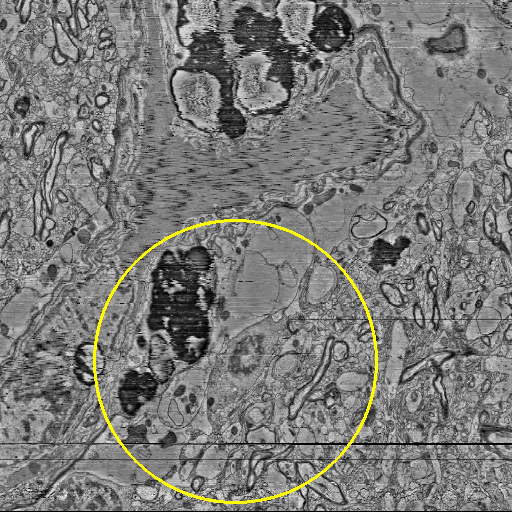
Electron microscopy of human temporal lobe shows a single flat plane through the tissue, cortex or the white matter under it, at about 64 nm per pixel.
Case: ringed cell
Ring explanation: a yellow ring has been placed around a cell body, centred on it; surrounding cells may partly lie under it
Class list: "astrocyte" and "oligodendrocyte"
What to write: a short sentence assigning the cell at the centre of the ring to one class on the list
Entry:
The cell at the ring's centre is an oligodendrocyte.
